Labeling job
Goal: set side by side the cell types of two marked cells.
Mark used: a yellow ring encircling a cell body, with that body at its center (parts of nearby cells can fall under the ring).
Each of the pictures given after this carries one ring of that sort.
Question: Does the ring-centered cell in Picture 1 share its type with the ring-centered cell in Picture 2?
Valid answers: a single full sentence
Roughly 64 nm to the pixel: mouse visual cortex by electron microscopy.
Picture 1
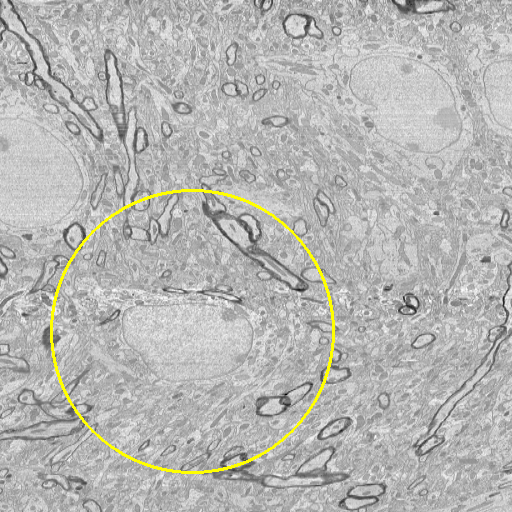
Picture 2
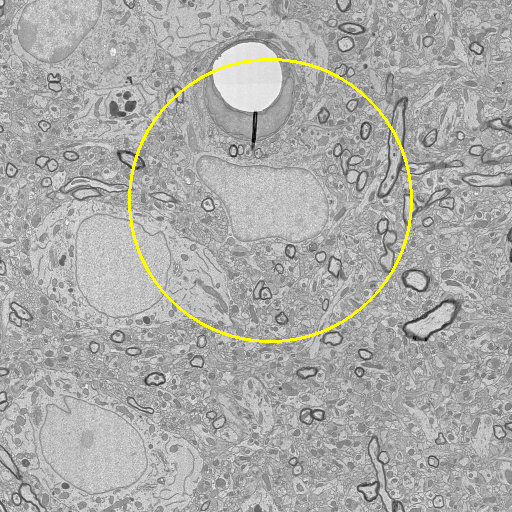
Yes, in Pictures 1 and 2 the cells at the ring centers share one type.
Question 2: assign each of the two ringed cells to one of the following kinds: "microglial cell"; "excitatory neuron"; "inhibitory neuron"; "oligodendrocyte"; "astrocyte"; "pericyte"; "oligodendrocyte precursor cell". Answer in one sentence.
Each cell, in the first picture and the second, is an astrocyte.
